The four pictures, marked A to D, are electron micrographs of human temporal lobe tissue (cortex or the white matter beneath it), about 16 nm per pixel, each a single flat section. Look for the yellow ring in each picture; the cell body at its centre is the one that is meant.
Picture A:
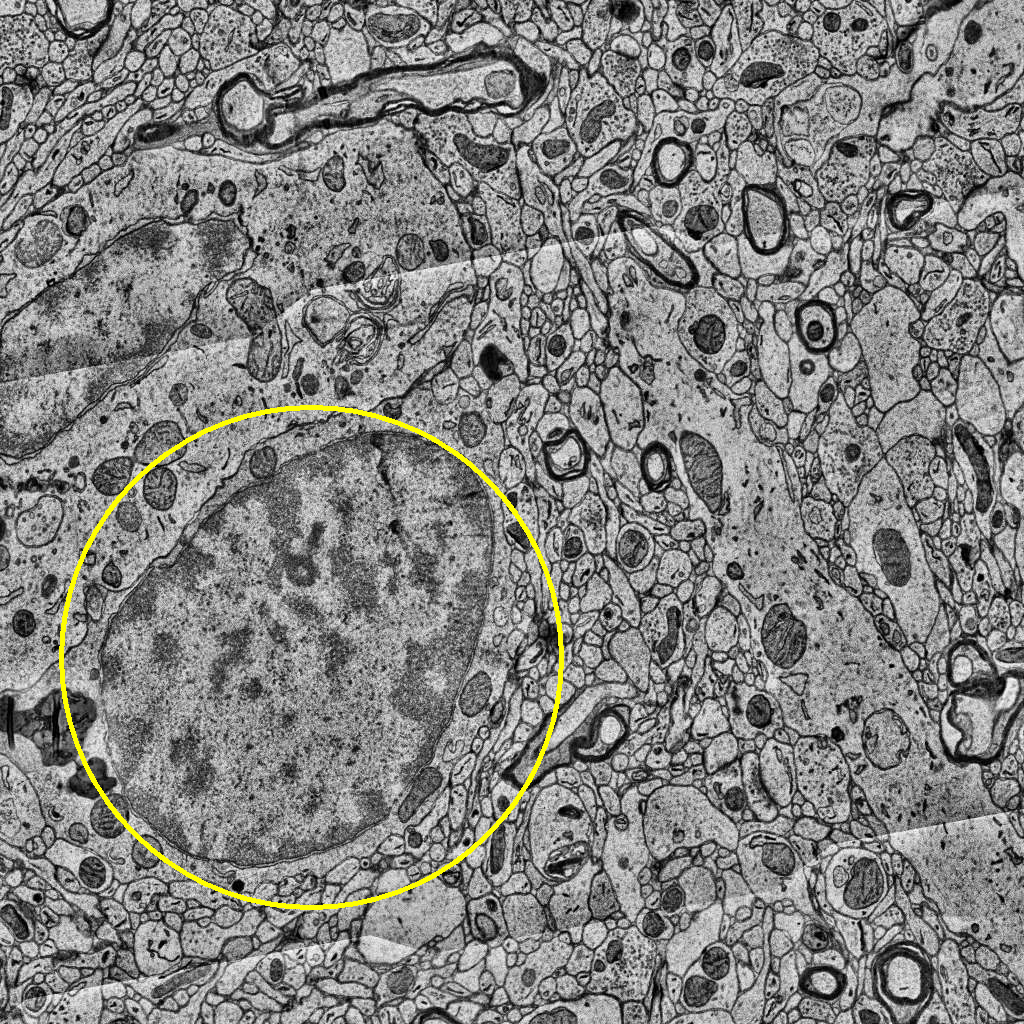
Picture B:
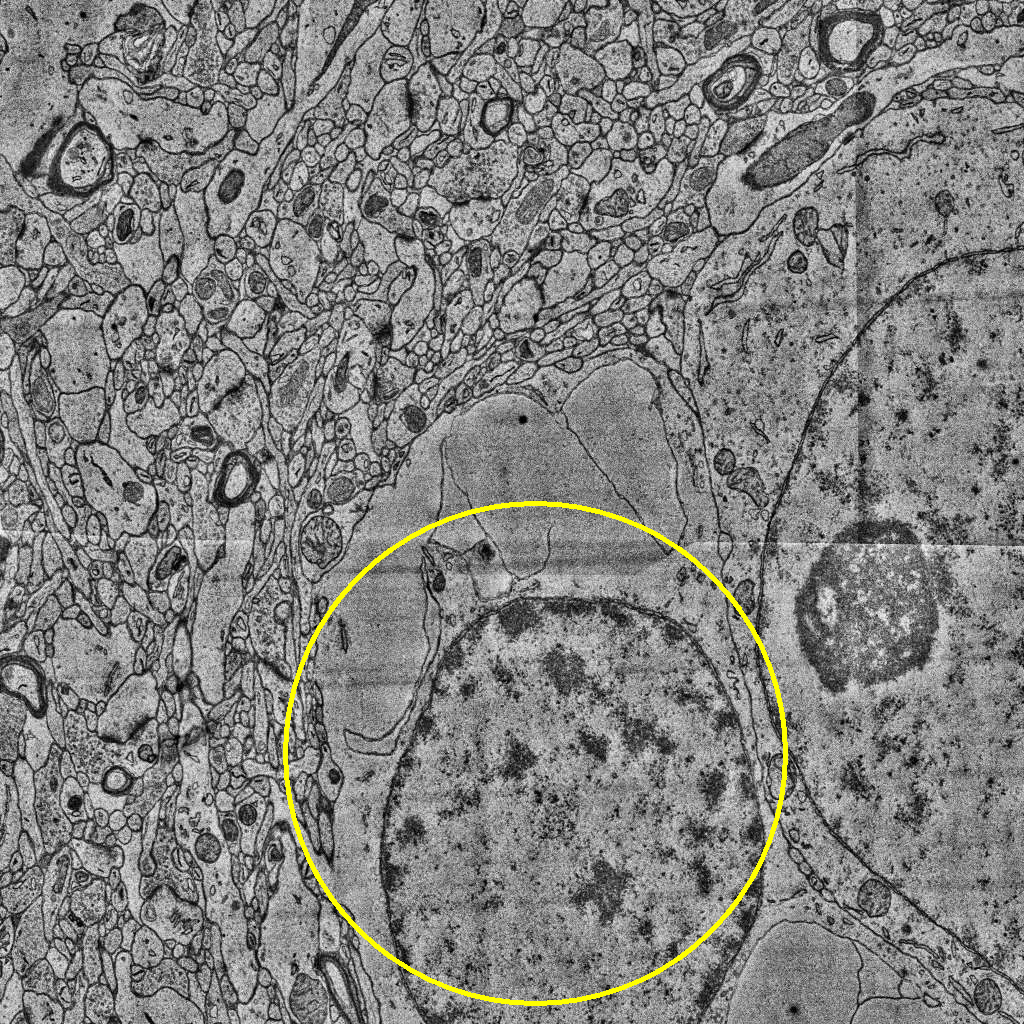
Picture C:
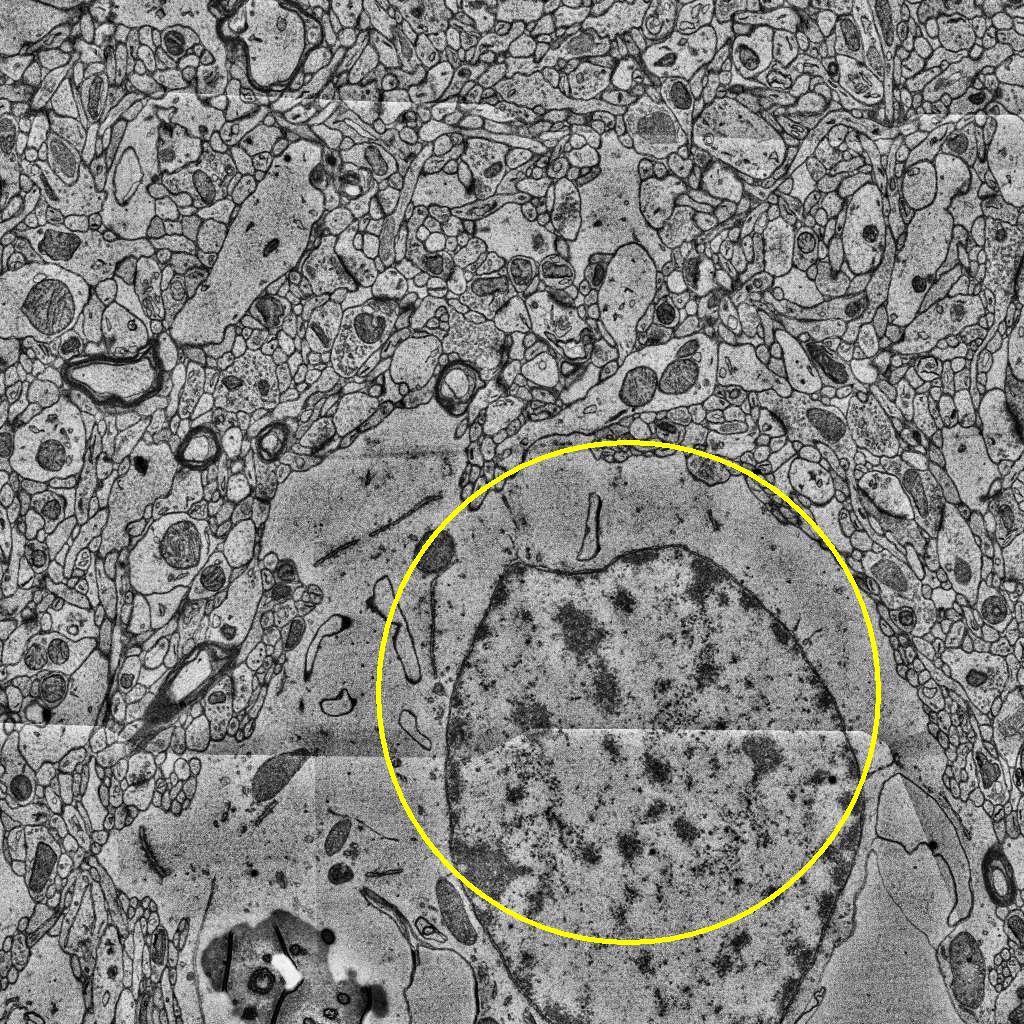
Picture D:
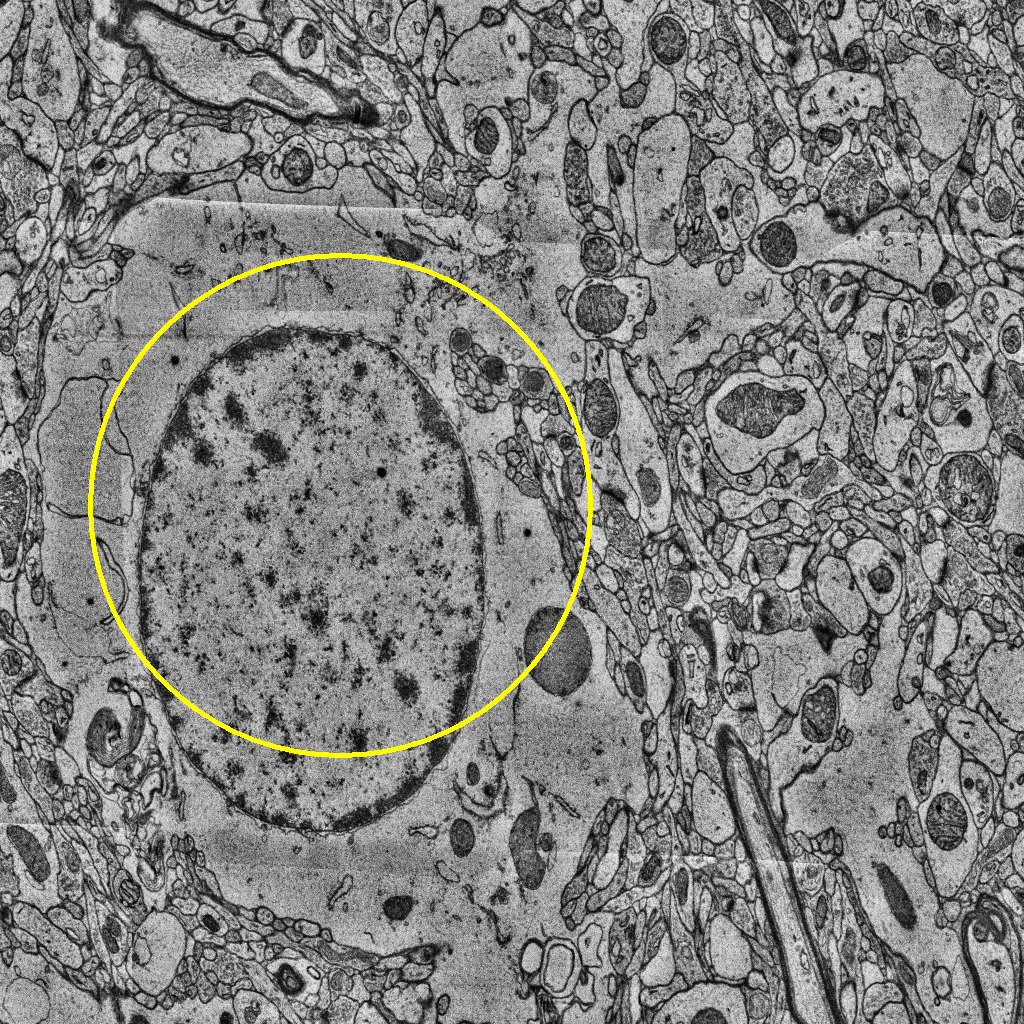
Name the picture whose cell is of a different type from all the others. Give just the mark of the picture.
A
